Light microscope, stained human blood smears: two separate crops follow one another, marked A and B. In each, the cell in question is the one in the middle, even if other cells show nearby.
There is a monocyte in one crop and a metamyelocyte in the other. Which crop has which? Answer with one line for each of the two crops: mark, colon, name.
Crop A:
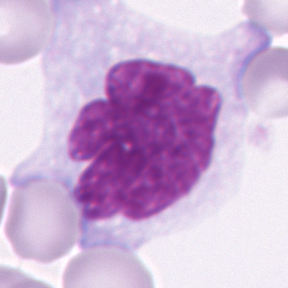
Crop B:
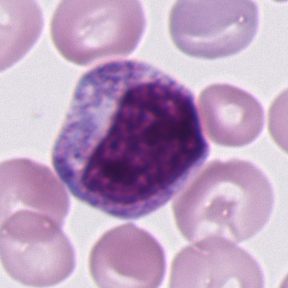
A: monocyte
B: metamyelocyte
